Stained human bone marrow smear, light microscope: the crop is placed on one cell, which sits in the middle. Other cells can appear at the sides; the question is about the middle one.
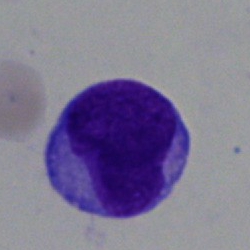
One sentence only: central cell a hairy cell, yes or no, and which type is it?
No, it isn't a hairy cell; what sits in the middle is a blast.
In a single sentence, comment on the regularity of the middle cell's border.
No surface projections are present; the cell outline is smooth.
